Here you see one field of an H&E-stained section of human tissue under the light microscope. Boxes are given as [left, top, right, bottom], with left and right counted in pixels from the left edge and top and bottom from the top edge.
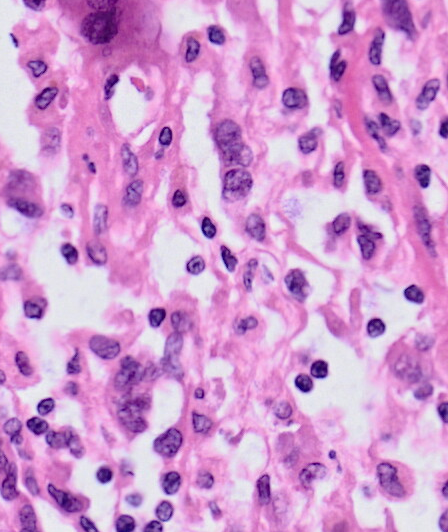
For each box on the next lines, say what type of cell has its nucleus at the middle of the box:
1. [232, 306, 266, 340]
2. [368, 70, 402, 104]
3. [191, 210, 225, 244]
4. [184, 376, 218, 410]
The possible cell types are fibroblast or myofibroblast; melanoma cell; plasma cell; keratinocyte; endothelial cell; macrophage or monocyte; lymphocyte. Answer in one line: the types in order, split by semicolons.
macrophage or monocyte; macrophage or monocyte; lymphocyte; macrophage or monocyte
